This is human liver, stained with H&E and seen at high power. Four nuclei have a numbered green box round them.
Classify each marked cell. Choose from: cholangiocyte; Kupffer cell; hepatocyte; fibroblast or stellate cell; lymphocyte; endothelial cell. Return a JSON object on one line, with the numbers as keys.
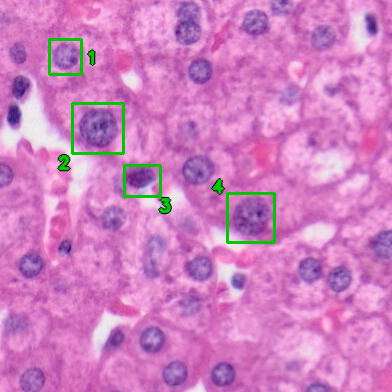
{"1": "hepatocyte", "2": "hepatocyte", "3": "endothelial cell", "4": "hepatocyte"}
